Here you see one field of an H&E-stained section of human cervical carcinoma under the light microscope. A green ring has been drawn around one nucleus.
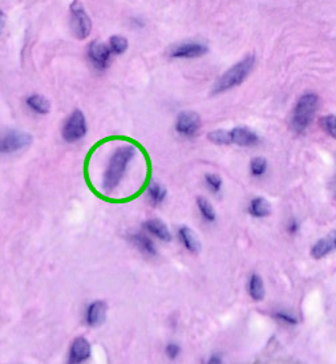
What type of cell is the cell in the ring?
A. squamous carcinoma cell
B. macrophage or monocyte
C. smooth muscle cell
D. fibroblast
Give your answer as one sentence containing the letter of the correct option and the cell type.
The proper choice here is D: the cell in the ring is a fibroblast.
